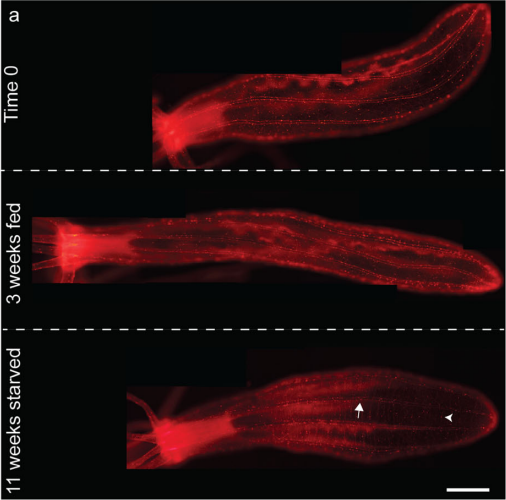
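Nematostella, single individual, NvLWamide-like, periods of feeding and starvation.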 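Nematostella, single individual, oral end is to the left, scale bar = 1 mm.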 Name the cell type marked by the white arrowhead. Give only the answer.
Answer: Tripolar neurons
